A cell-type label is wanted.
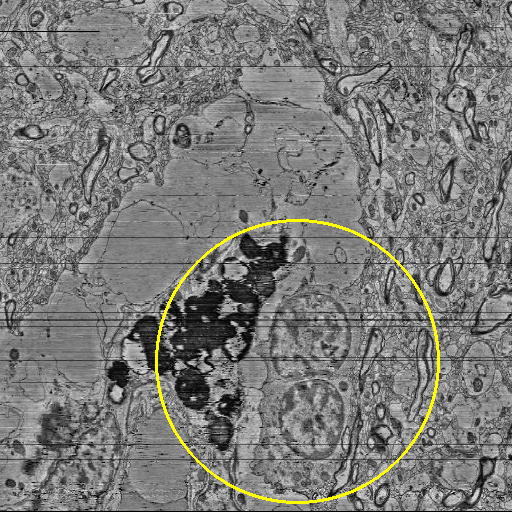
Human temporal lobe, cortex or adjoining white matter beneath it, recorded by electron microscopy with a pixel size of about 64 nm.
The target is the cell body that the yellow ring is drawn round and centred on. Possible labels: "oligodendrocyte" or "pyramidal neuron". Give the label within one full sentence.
Of the labels offered, the cell in the middle of the yellow ring is an oligodendrocyte.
